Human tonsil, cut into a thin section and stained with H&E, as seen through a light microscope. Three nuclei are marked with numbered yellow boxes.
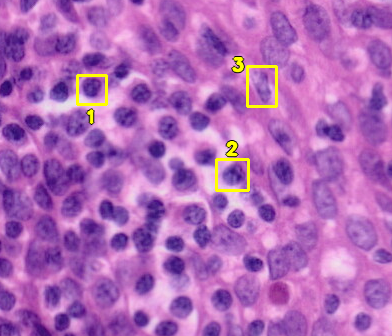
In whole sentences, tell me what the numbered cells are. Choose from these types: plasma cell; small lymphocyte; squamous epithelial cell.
Cells 1 and 2 are plasma cells. Cell 3 is a squamous epithelial cell.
